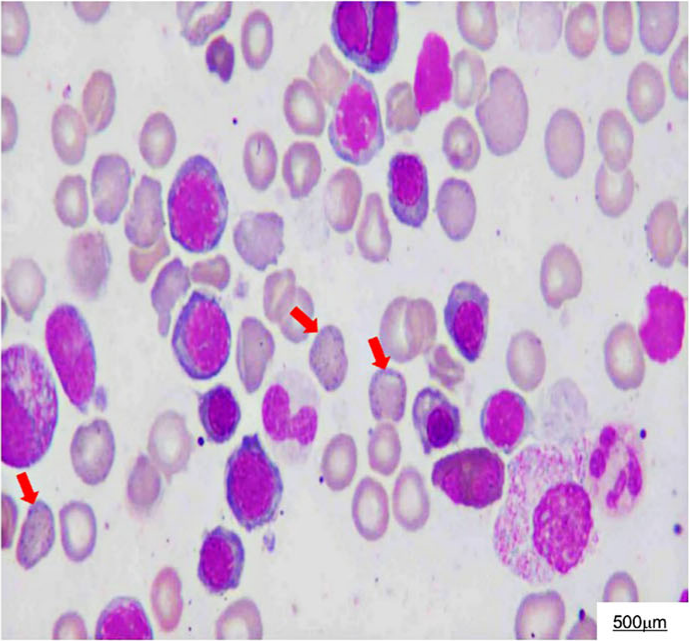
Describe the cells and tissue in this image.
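This bone marrow smear shows many erythrocytes mixed with nucleated marrow cells. The nucleated cells vary in size: some are round with dense magenta nuclei and a rim of blue cytoplasm, and others have segmented nuclei or pink granular cytoplasm. A large cell at the lower right has a round nucleus and abundant granular pink cytoplasm. Several small anucleate red cells are marked because fine dark dots are scattered through their cytoplasm, which is basophilic stippling.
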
